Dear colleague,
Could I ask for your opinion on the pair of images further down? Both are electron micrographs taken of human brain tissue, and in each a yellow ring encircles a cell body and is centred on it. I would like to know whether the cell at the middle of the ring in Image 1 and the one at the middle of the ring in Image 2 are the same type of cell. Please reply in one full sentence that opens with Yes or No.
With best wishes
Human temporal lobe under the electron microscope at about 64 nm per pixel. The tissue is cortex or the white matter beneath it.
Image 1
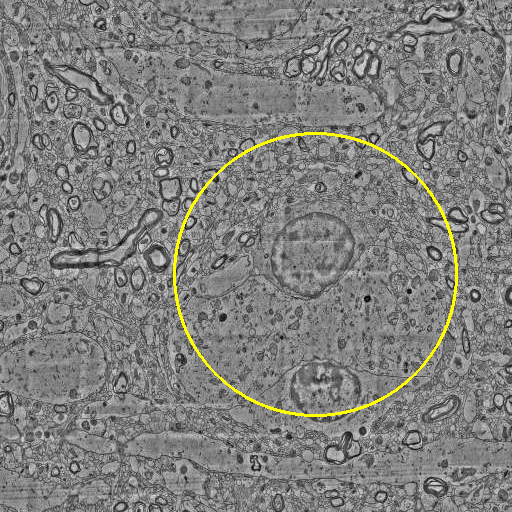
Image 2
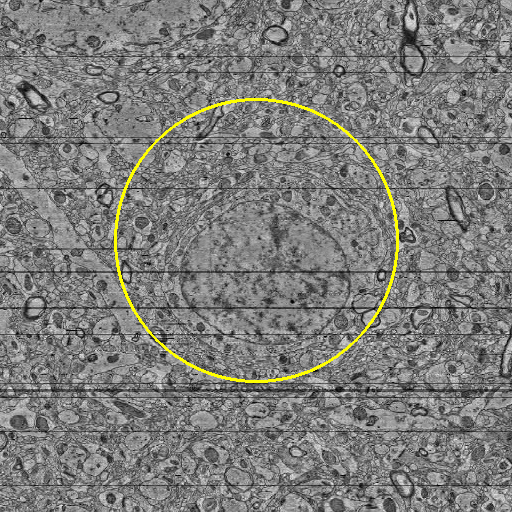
No, the cells at the ring centres in Image 1 and Image 2 are of two types.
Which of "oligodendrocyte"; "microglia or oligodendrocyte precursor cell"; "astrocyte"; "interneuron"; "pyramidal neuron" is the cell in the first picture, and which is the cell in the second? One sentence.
The two differ: the first cell is an oligodendrocyte and the second is an interneuron.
